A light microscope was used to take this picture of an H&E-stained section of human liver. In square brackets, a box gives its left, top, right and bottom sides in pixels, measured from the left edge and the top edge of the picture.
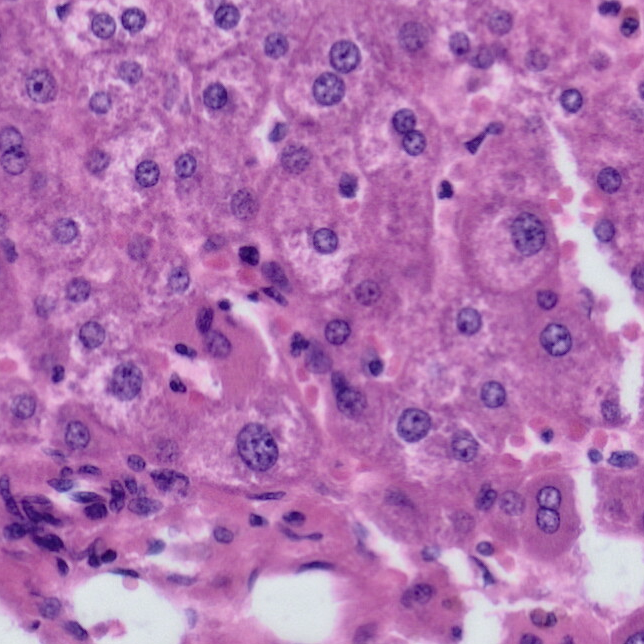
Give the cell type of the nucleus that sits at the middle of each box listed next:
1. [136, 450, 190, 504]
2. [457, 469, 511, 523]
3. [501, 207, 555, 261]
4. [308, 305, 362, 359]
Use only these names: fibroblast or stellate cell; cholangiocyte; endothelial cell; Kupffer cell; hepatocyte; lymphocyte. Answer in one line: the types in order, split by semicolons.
fibroblast or stellate cell; fibroblast or stellate cell; hepatocyte; hepatocyte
